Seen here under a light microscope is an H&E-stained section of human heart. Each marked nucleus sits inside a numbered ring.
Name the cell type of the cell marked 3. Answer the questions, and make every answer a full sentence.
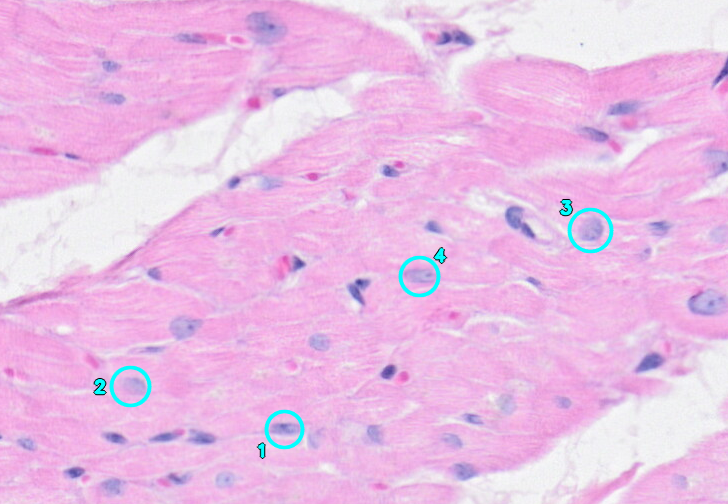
Among the marked nuclei, number 3 belongs to a cardiomyocyte.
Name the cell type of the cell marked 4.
The cell pointed out as number 4 is a cardiomyocyte.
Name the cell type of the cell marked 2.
The cell bearing label 2 corresponds to a cardiomyocyte.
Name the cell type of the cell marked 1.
Recognised here as an endothelial cell is the cell numbered 1.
